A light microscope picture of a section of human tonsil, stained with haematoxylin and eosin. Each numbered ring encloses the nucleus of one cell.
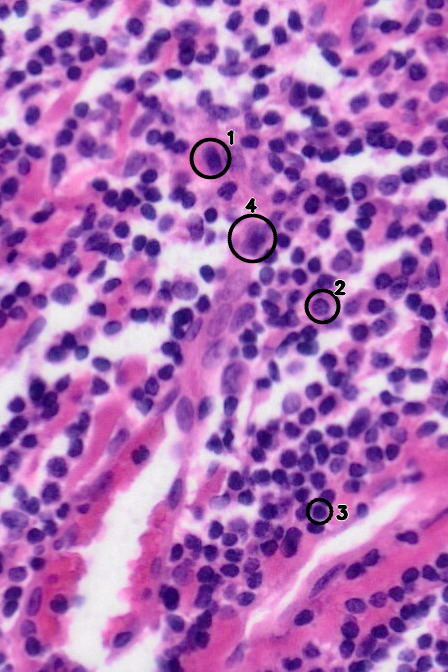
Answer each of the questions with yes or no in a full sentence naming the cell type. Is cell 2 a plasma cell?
Yes, exactly, the cell numbered 2 is a plasma cell.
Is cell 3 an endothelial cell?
No, at number 3 sits a small lymphocyte, not an endothelial cell.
